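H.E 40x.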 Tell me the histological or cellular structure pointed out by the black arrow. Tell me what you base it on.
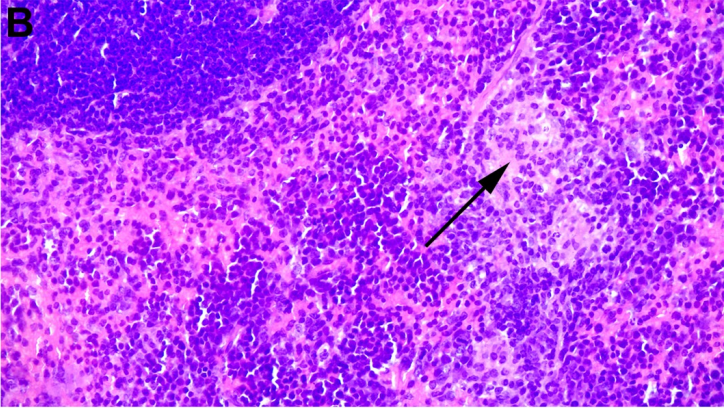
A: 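Microgranulomas. At the arrow tip lies a pale, rounded focus of cells with more cytoplasm than the surrounding cells. Around it are sheets of small dark lymphoid nuclei.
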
